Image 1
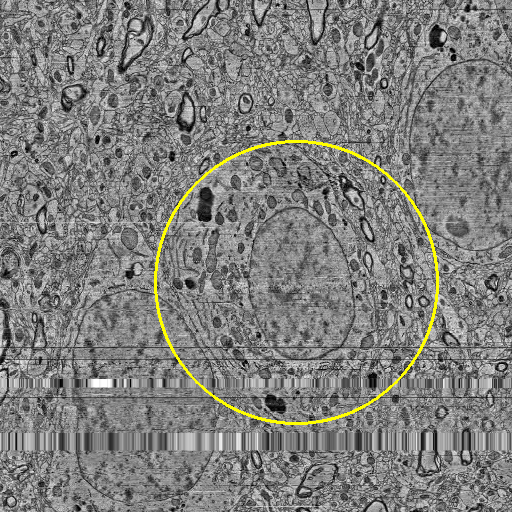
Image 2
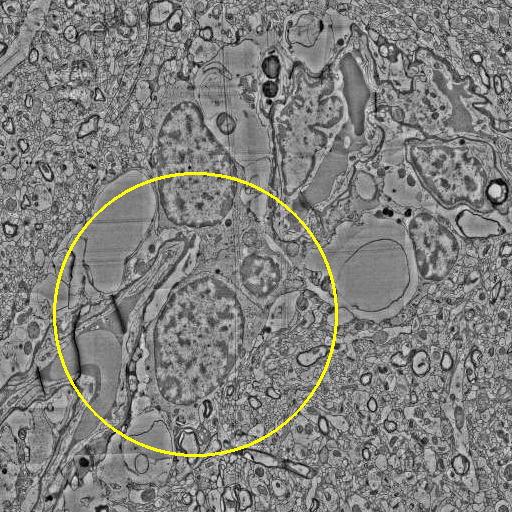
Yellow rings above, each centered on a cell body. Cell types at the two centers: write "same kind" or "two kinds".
two kinds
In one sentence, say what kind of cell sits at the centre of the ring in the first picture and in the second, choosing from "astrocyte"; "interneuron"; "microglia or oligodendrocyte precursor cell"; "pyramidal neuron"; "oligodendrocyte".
The first picture's ringed cell is an interneuron, while the second picture's is an oligodendrocyte.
